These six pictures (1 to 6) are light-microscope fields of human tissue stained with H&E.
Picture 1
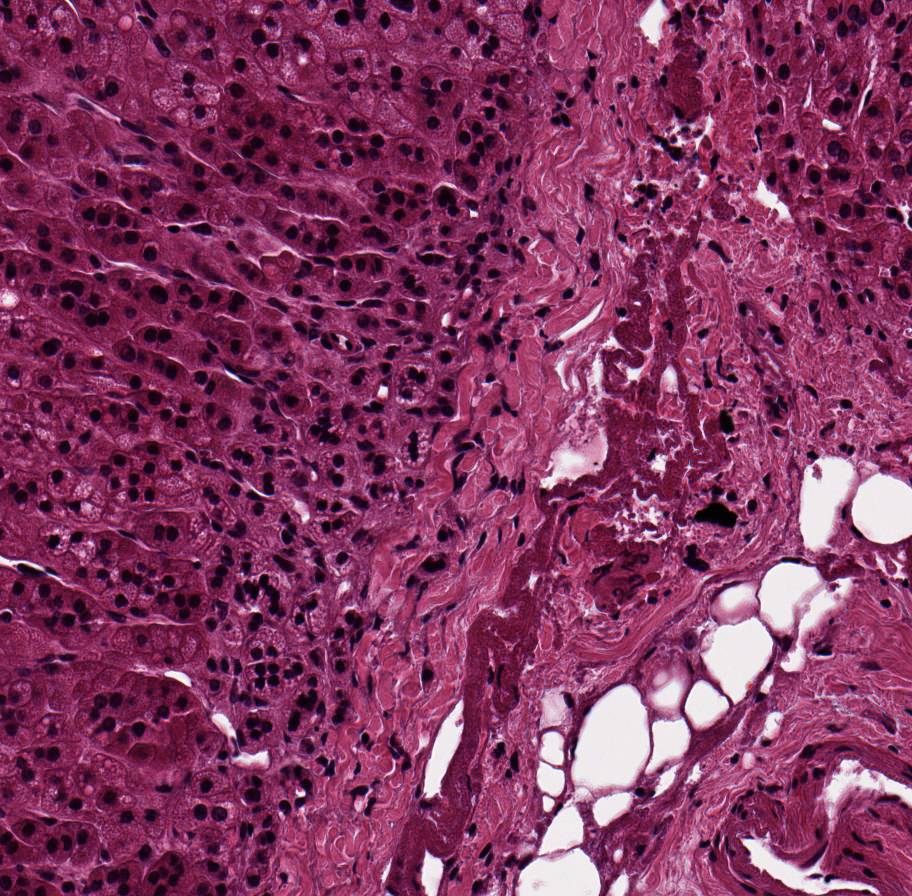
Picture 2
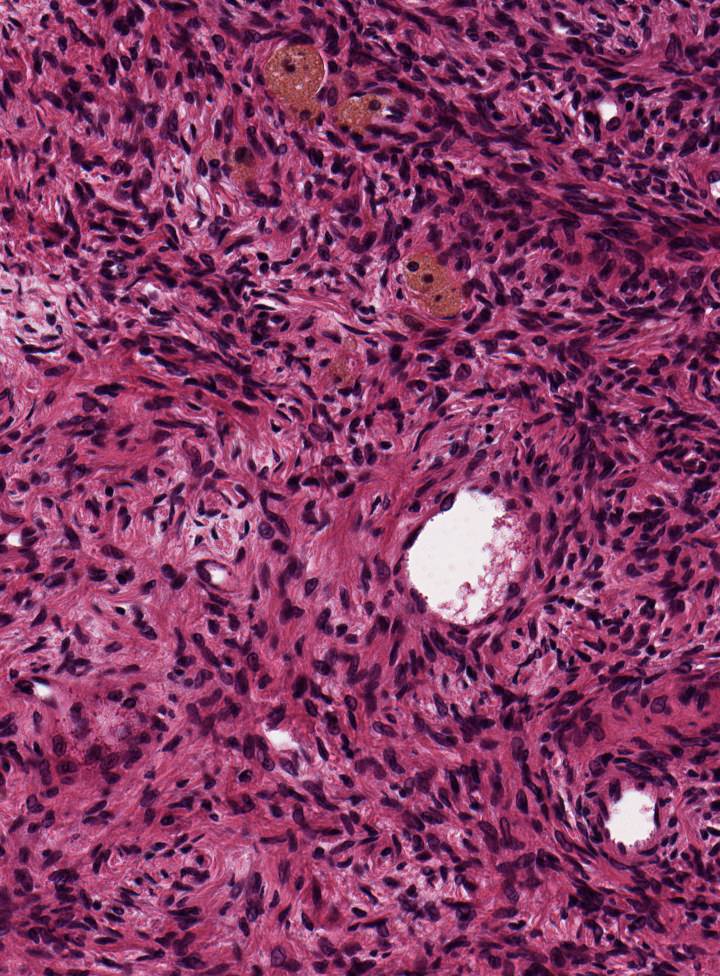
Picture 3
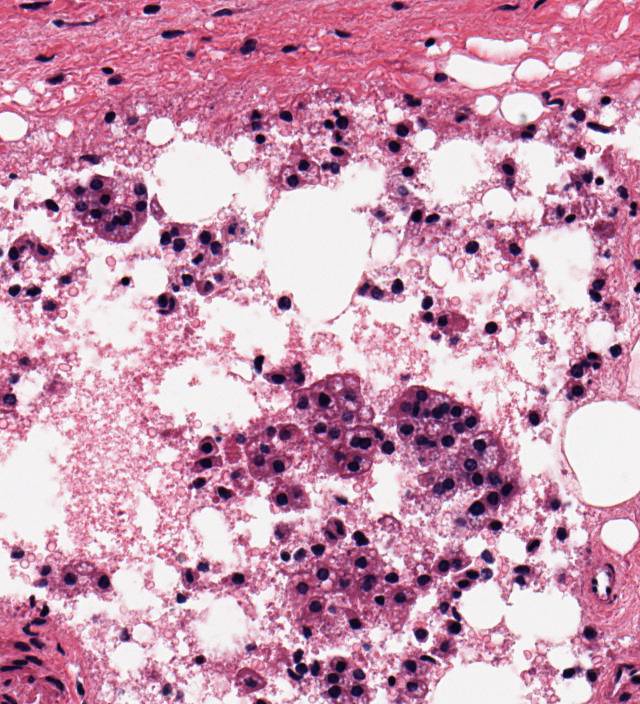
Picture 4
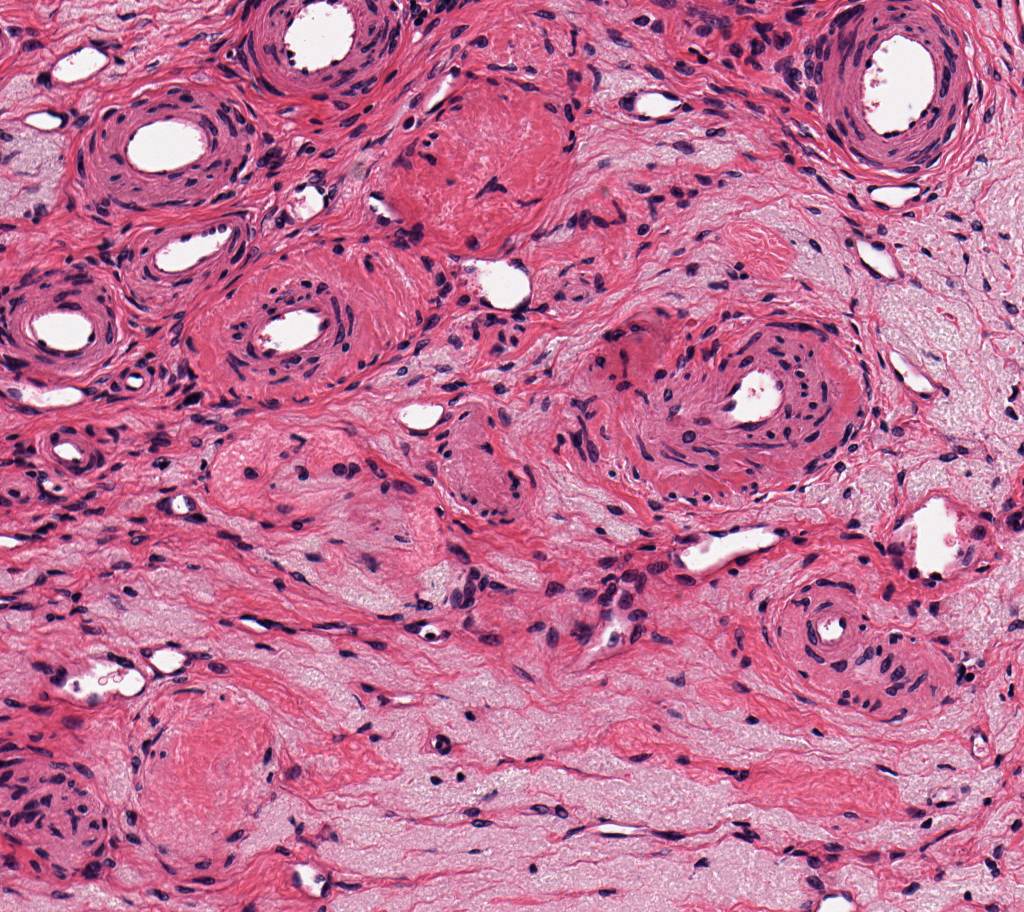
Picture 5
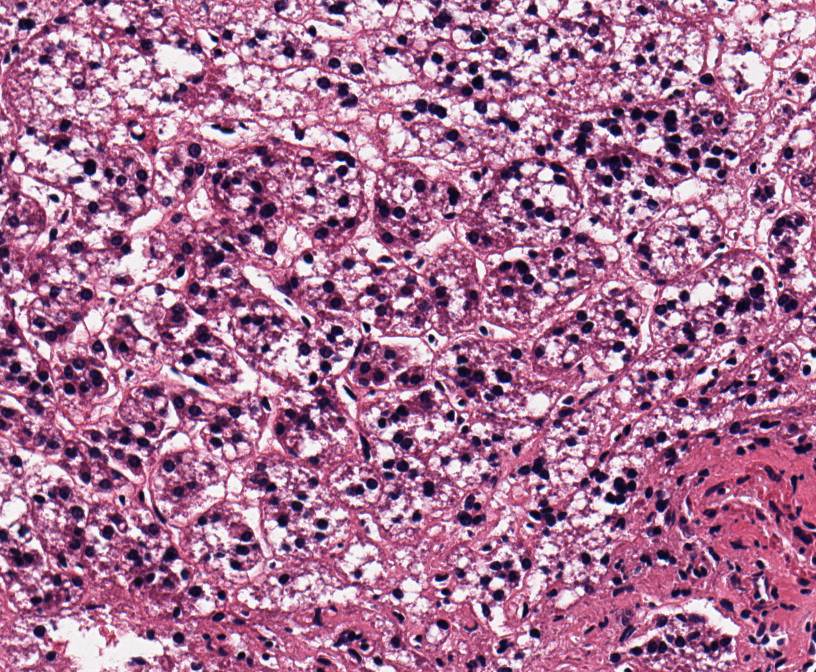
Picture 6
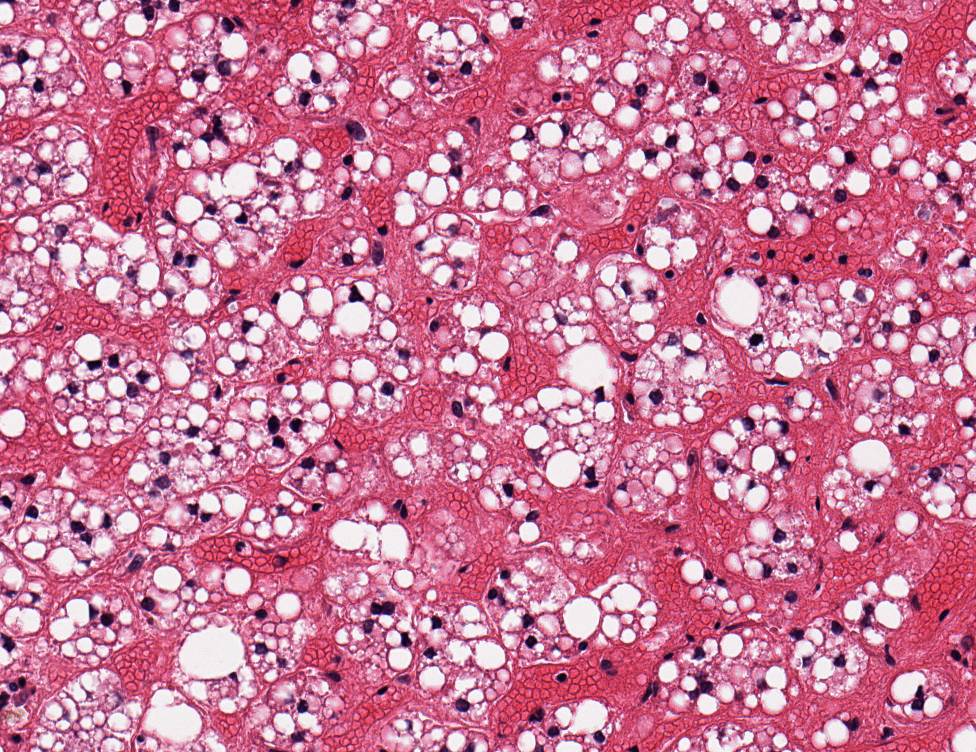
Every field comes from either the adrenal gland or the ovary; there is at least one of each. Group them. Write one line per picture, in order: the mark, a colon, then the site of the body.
1: adrenal gland
2: ovary
3: adrenal gland
4: ovary
5: adrenal gland
6: adrenal gland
